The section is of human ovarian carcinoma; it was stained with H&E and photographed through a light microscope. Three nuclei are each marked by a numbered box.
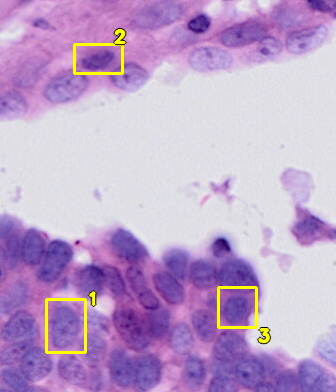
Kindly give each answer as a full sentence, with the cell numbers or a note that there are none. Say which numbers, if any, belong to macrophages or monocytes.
The numbered cell that is a macrophage or monocyte is cell 2, and it is the only one.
